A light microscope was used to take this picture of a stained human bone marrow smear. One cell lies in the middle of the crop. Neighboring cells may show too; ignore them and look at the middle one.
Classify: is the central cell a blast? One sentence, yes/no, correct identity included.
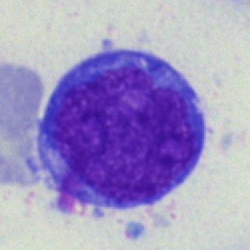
Yes, it is a blast that occupies the centre of the crop.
